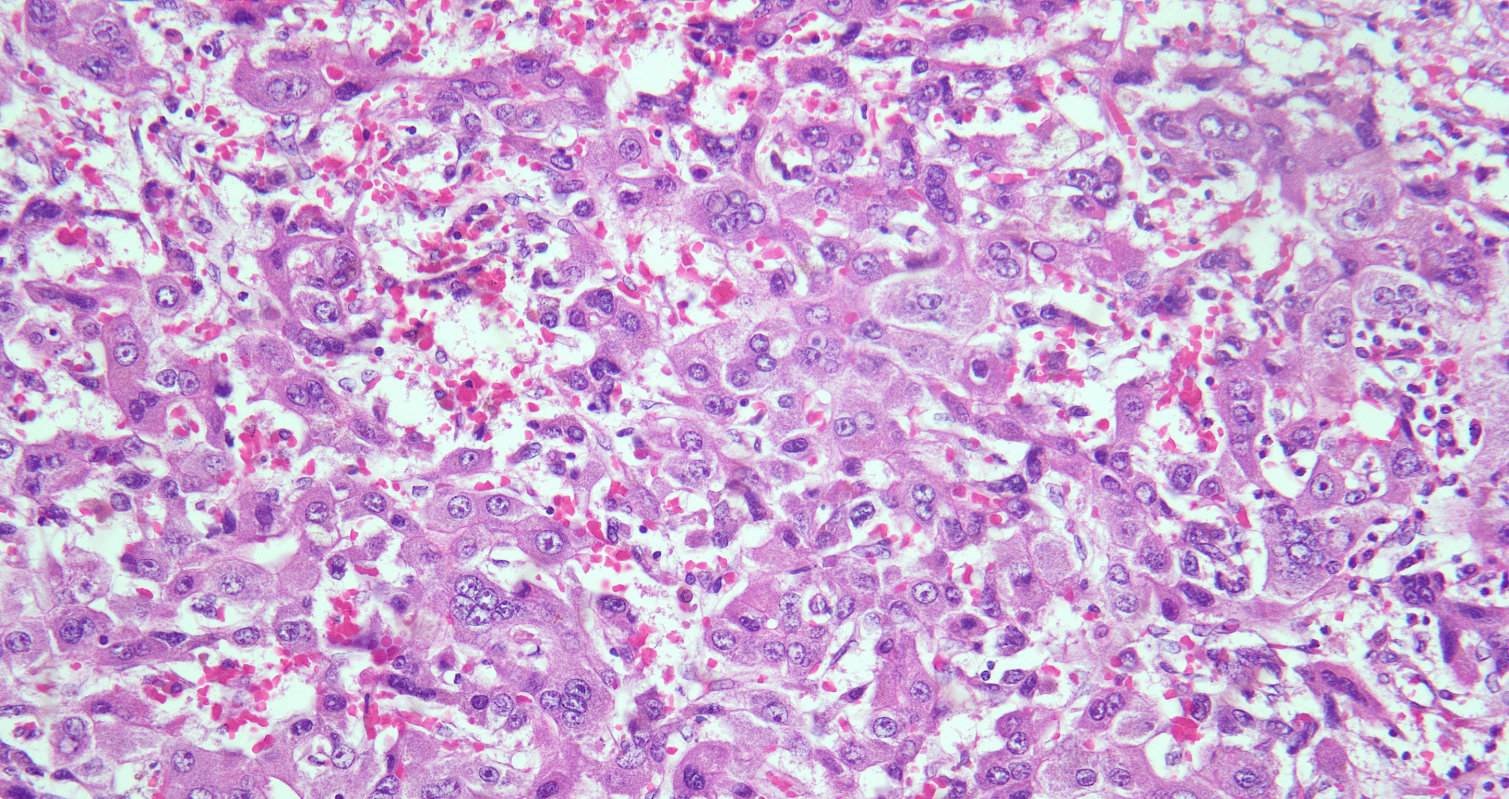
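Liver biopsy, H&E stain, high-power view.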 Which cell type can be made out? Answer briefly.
atypical hepatocellular tumour cells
